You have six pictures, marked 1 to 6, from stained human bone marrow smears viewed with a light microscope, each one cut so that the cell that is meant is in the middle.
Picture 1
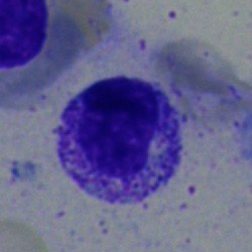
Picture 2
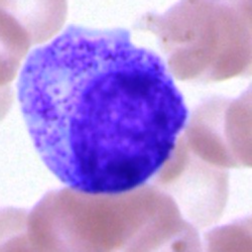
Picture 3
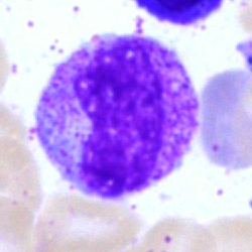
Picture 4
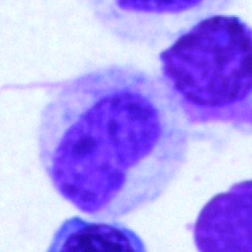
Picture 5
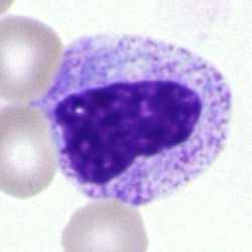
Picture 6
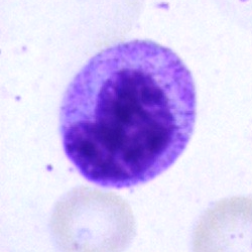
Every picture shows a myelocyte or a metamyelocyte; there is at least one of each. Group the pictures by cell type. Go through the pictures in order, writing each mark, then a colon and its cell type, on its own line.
1: myelocyte
2: myelocyte
3: metamyelocyte
4: metamyelocyte
5: metamyelocyte
6: metamyelocyte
